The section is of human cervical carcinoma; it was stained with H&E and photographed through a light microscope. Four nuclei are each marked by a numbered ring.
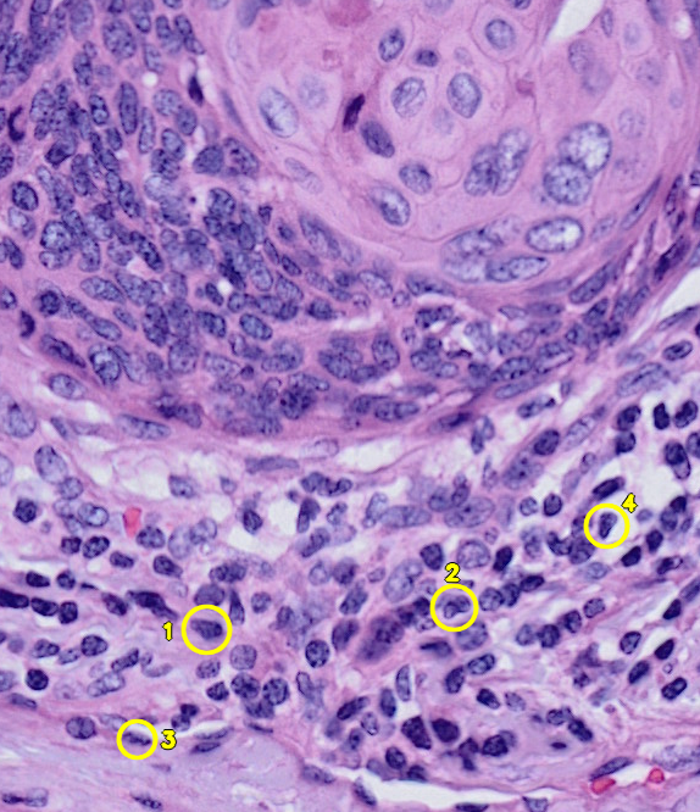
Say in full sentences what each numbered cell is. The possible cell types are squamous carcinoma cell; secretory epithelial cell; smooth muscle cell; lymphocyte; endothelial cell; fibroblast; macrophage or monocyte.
Cells 1, 2 and 4 are lymphocytes. Cell 3 is an endothelial cell.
